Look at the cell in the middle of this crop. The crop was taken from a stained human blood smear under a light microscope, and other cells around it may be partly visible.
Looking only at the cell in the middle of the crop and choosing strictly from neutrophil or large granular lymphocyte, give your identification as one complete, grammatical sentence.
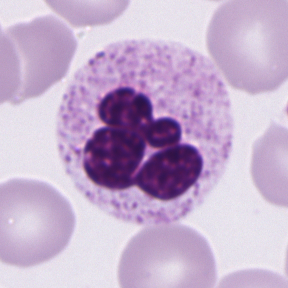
Framed in the middle of the crop is a neutrophil.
